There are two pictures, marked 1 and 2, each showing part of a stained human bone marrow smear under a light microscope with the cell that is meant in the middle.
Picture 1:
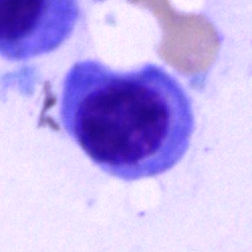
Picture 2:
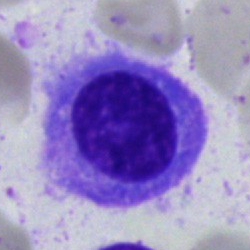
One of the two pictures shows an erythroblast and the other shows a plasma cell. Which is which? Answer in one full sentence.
Picture 2 shows a plasma cell, while picture 1 shows an erythroblast.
